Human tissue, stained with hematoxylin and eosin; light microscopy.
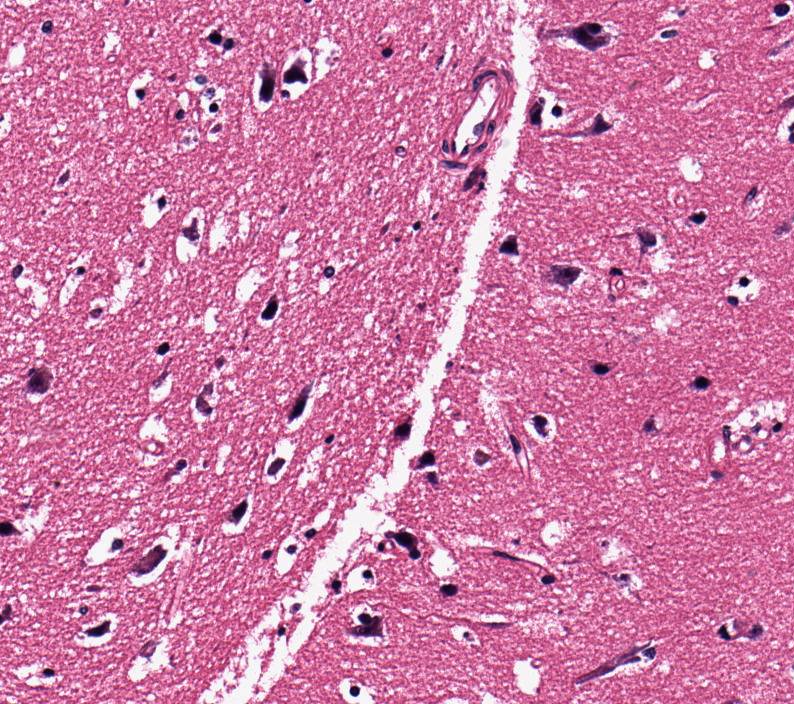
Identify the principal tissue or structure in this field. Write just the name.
cerebral cortex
